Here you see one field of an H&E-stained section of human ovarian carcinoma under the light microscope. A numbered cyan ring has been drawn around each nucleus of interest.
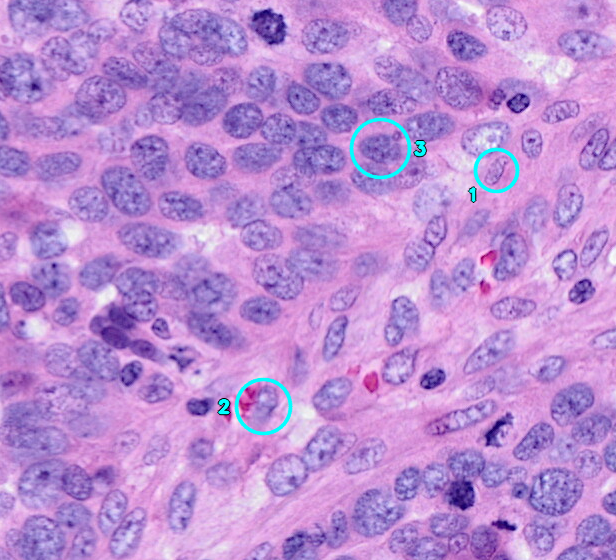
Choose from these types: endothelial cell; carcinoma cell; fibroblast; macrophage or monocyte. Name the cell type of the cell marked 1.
fibroblast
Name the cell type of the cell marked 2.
endothelial cell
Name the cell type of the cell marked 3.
carcinoma cell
